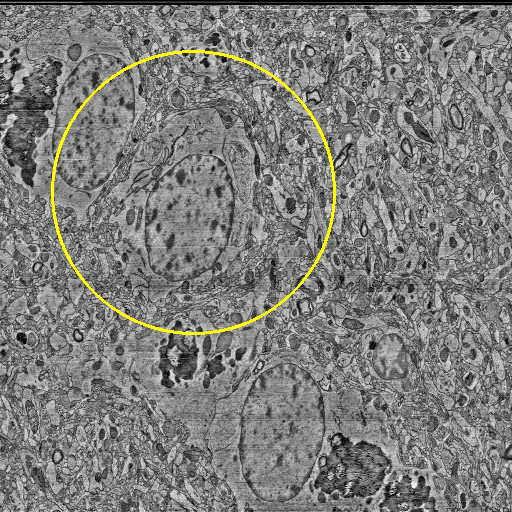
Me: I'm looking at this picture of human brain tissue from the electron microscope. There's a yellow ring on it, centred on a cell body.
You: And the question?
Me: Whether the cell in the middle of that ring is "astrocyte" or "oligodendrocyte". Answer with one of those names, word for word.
astrocyte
